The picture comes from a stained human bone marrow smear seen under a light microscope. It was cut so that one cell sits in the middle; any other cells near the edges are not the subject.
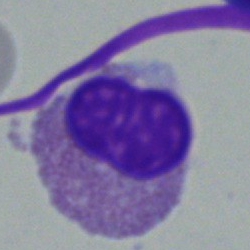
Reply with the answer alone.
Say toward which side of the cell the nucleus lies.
upper right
